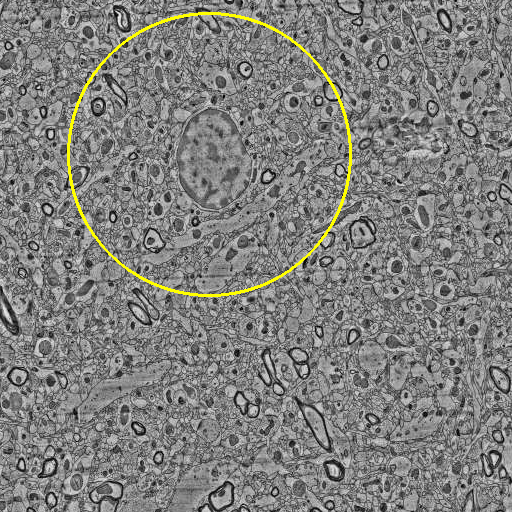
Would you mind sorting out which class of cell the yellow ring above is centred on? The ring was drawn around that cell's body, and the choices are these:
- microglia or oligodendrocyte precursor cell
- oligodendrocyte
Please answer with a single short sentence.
This is the cell body of a microglial cell or oligodendrocyte precursor cell.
